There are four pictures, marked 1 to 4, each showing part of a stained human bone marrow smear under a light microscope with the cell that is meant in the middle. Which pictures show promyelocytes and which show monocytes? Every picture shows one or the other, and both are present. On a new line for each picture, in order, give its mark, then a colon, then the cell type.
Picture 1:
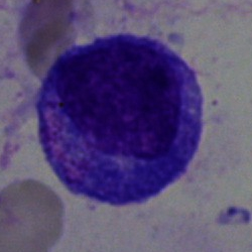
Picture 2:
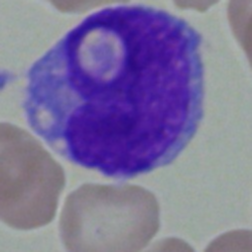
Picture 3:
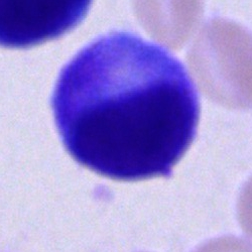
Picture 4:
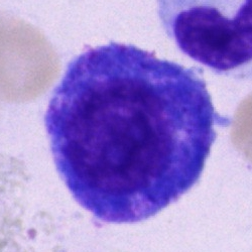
1: promyelocyte
2: monocyte
3: promyelocyte
4: promyelocyte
